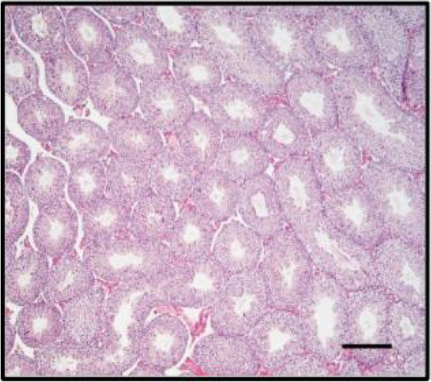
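This low-power view of testis shows rows of tightly packed seminiferous tubules, most cut across as round or oval profiles. Their walls are made of thick, purple-stained layers of cells that enclose pale central lumina. Small pink interstitial areas and a few clefts separate neighbouring tubules. The tubules look regular in size and layering, with no obvious gaps in the epithelium.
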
